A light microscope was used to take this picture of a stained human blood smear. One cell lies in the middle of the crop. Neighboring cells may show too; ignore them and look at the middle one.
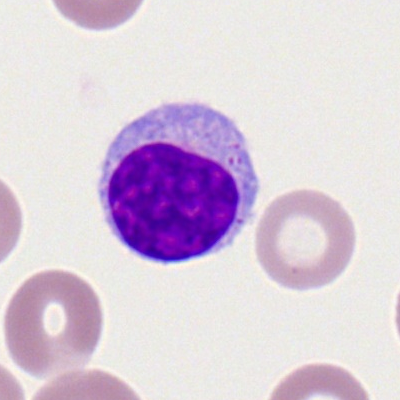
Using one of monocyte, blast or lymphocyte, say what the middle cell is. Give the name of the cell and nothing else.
lymphocyte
